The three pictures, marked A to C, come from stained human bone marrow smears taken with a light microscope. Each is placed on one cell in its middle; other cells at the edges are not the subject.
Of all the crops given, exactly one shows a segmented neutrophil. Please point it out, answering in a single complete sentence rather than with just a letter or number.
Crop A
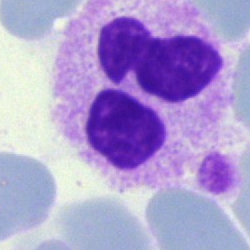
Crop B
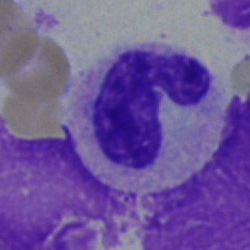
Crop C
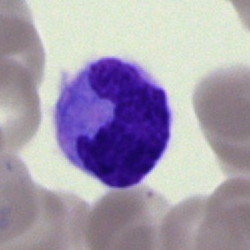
Crop A alone, of all the crops, shows a segmented neutrophil.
